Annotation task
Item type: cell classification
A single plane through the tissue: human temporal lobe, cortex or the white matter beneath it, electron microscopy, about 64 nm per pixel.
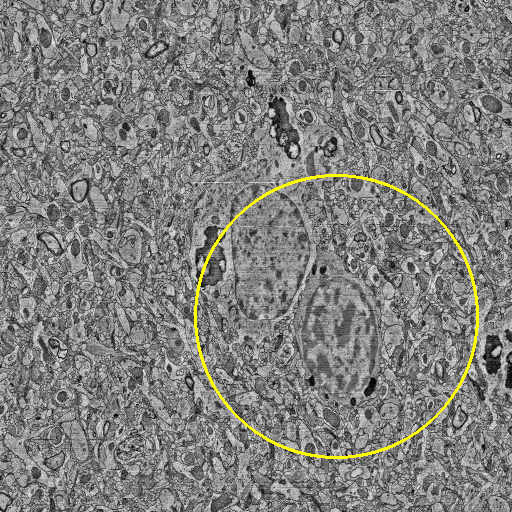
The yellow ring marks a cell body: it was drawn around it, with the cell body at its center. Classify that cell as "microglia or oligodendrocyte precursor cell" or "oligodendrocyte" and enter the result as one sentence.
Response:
The ring's center falls on an oligodendrocyte.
